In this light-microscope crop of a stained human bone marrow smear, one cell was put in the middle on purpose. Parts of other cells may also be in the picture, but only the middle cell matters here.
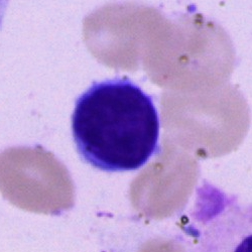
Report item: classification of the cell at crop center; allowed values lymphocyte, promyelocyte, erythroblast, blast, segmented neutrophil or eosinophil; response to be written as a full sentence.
Of the cells in this crop, the central one is a lymphocyte.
